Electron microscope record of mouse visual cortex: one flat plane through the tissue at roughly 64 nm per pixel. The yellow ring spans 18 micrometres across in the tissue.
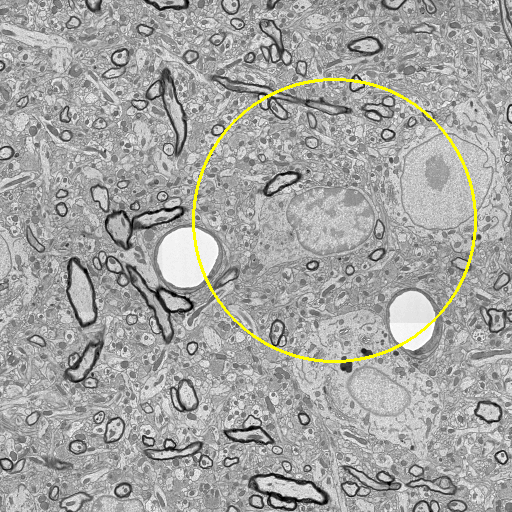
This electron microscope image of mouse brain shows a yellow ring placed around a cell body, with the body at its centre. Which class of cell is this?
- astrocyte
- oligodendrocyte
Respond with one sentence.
The cell body at the ring's centre is an oligodendrocyte.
